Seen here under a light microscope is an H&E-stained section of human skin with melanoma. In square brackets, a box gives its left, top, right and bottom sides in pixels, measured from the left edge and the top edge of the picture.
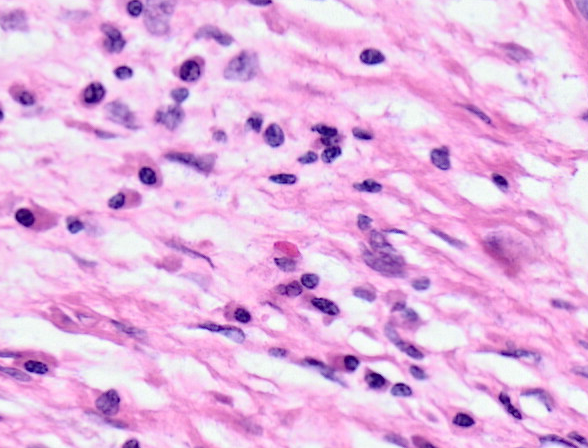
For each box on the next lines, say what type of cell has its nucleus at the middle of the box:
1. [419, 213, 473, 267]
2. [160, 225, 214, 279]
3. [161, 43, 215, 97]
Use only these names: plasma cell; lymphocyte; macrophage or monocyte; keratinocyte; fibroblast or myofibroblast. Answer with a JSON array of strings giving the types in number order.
["fibroblast or myofibroblast", "fibroblast or myofibroblast", "plasma cell"]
